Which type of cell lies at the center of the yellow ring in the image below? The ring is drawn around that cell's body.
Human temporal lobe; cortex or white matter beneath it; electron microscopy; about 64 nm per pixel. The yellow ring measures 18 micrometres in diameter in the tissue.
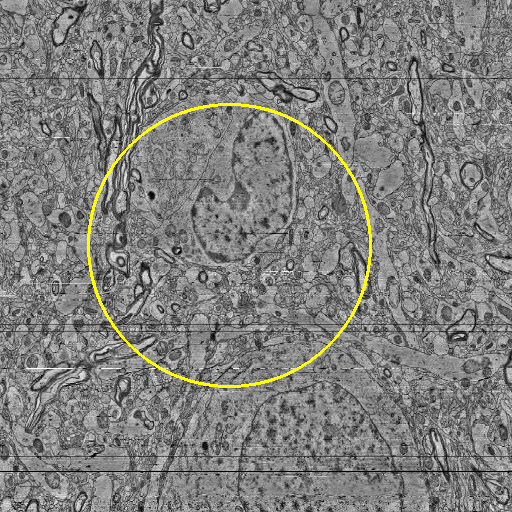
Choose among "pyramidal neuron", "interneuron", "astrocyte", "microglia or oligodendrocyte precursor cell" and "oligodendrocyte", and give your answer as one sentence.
The cell body at the center belongs to a microglial cell or oligodendrocyte precursor cell.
